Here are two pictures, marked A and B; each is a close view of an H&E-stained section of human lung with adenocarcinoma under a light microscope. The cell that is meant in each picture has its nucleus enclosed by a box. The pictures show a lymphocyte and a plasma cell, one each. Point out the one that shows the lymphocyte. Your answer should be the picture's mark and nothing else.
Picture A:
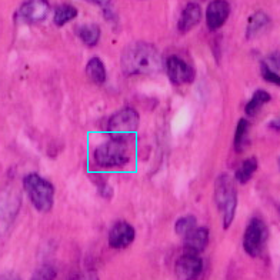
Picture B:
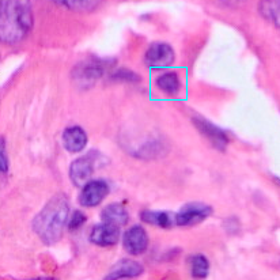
B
